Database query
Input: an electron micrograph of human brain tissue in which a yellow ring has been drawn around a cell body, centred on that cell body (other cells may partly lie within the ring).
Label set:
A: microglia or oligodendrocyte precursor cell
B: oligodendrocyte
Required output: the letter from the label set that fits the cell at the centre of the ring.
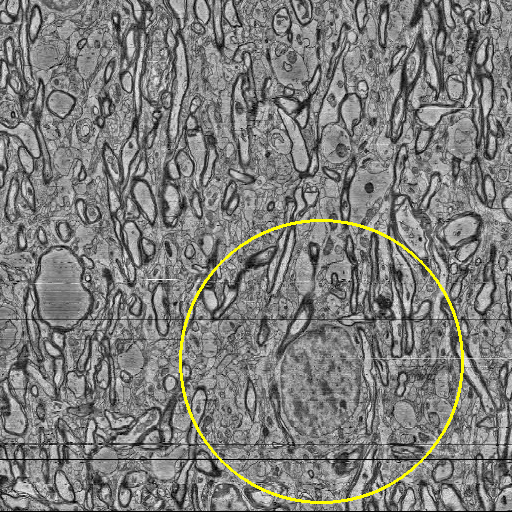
B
